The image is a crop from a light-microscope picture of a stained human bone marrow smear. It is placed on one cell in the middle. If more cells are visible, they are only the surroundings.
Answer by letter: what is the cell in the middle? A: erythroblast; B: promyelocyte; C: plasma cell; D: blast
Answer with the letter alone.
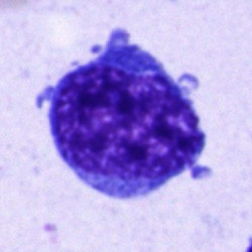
D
